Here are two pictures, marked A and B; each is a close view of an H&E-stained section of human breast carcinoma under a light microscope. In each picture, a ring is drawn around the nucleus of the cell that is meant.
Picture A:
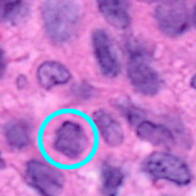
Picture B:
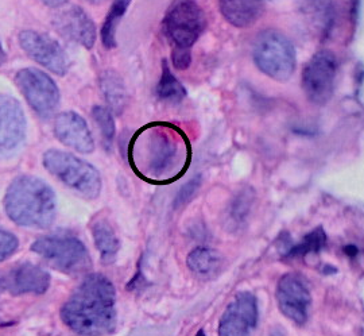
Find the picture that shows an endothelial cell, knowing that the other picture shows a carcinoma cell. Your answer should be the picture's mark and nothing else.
B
